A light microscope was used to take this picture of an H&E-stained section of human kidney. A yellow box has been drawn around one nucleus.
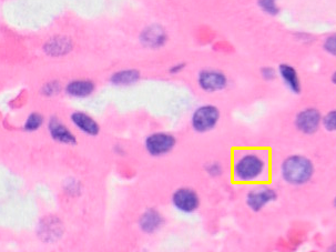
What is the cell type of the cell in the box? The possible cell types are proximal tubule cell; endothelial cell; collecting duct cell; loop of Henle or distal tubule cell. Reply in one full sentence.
In this preparation, the cell in the box is a loop of Henle or distal tubule cell.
